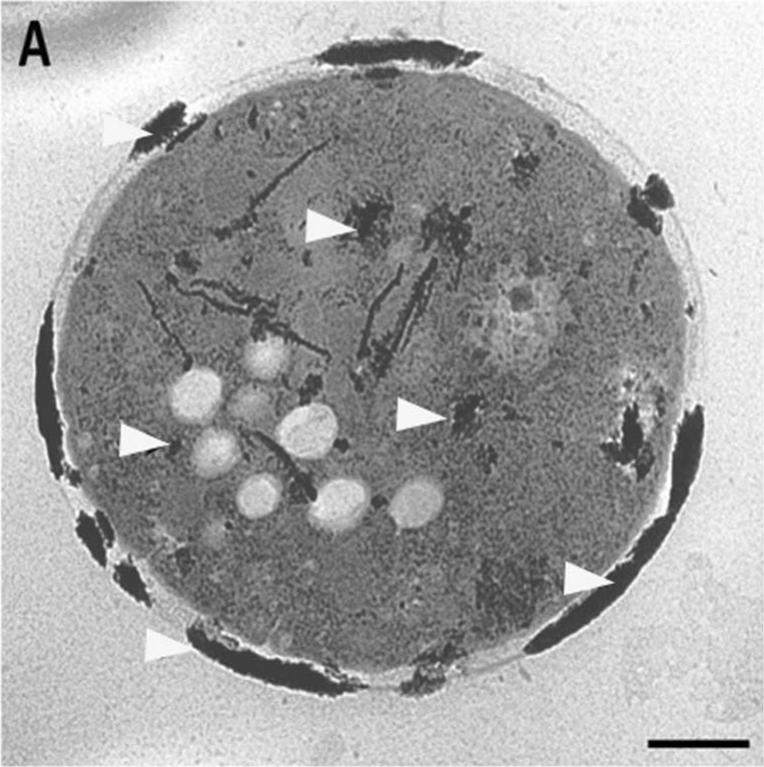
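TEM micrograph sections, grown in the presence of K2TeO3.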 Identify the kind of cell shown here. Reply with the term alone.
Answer: yeast cells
